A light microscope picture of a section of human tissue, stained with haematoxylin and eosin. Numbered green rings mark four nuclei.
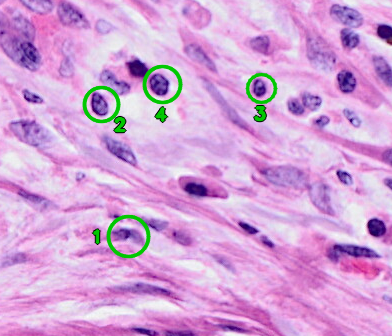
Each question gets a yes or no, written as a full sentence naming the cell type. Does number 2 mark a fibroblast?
No; cell 2 is a lymphocyte, not a fibroblast.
